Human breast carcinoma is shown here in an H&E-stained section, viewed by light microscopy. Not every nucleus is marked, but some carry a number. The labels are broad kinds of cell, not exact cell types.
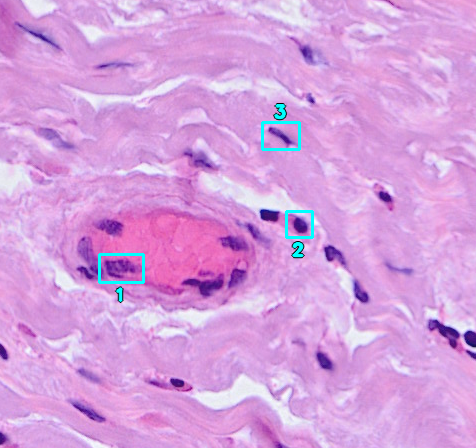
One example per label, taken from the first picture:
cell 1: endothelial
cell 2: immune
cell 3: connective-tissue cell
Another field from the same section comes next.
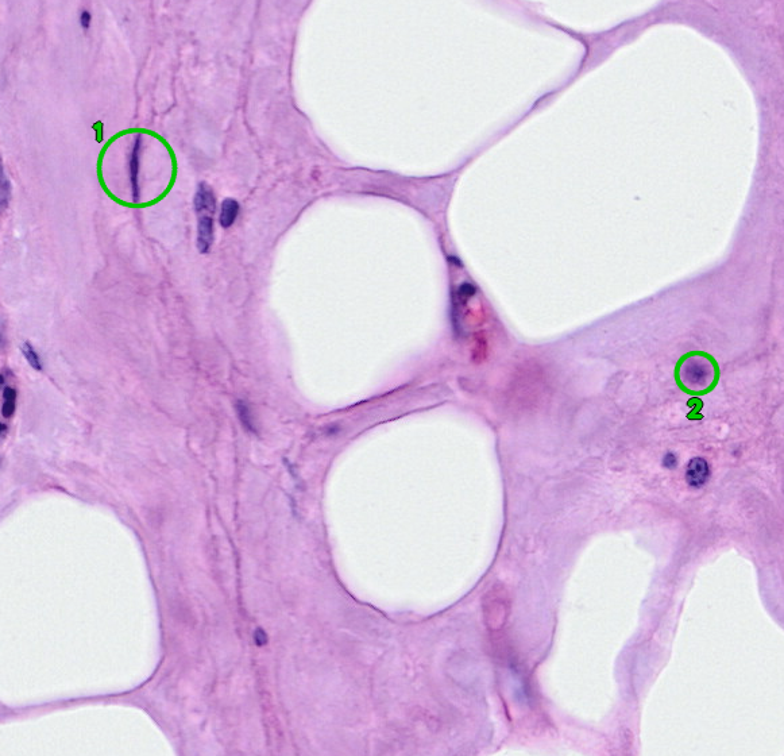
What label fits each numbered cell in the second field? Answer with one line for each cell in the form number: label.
1: connective-tissue cell
2: immune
